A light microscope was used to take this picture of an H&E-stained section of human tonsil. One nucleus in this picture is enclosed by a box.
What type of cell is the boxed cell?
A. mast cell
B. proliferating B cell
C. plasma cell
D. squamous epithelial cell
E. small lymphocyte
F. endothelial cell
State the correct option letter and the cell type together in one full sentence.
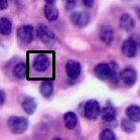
Here the boxed cell is a plasma cell, which makes option C correct.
